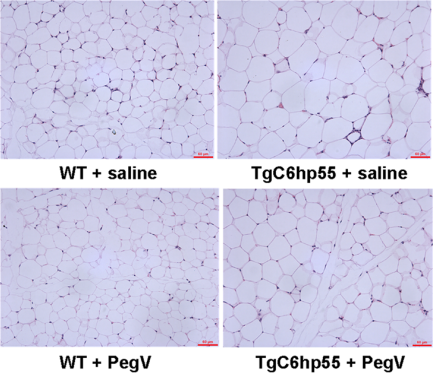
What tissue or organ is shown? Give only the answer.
White adipose tissue.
